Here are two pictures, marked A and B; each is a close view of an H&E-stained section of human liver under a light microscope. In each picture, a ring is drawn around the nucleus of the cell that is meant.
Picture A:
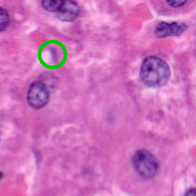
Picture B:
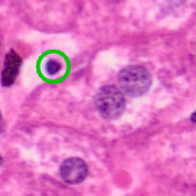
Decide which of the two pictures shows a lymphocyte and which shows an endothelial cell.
A: endothelial cell
B: lymphocyte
